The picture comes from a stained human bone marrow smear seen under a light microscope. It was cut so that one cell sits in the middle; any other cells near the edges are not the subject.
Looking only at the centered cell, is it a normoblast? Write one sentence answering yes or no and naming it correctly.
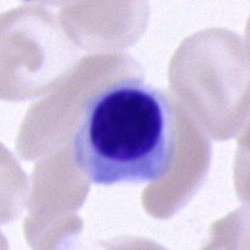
Yes, shown in the middle of the crop is a normoblast.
